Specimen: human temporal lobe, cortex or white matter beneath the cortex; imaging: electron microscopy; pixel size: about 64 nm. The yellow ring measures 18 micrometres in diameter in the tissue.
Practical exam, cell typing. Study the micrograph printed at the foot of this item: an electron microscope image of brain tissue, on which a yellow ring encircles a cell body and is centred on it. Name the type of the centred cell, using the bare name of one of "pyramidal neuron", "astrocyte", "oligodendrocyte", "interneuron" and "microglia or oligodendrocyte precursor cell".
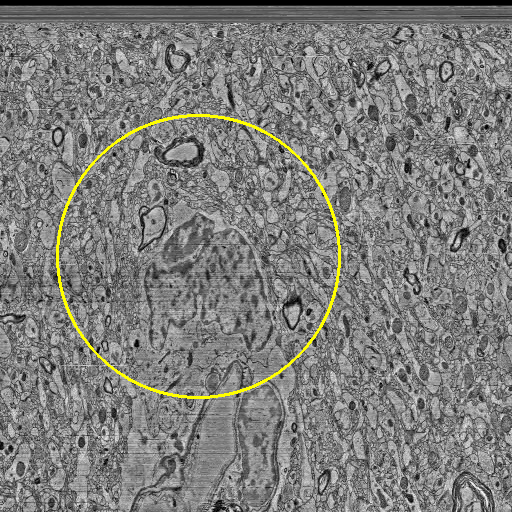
microglia or oligodendrocyte precursor cell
